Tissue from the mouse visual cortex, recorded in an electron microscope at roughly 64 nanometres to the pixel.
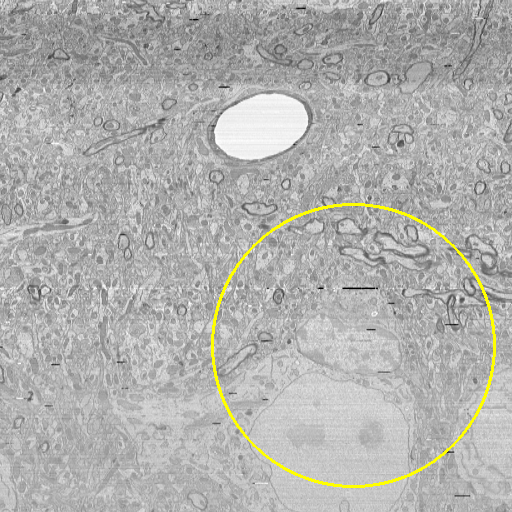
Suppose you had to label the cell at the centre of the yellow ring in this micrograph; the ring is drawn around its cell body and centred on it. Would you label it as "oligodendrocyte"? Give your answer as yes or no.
Yes, I would label it that way.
